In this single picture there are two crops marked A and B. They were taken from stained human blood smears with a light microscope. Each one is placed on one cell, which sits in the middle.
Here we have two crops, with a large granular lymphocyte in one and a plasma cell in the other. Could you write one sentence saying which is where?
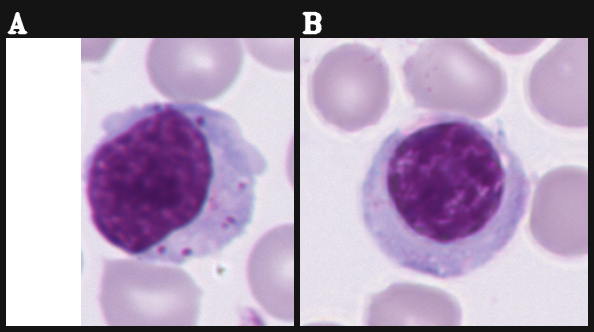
Crop A here is a large granular lymphocyte, and crop B is a plasma cell.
